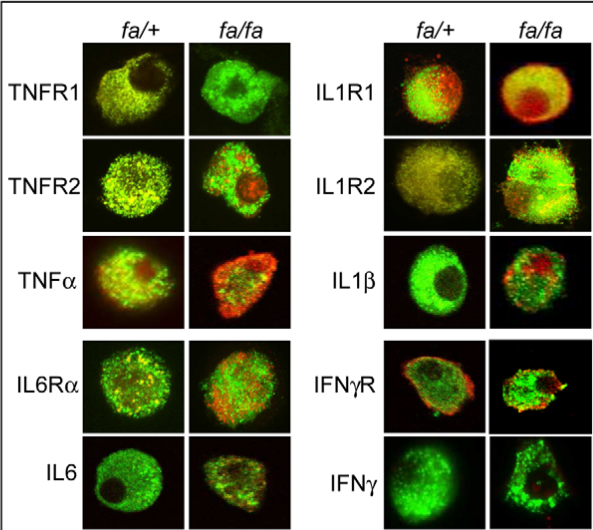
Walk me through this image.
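Each small frame shows a single isolated, rounded cell against a dark background. A darker, roughly round unstained area marks the nucleus, often set to one side. Around it the cytoplasm is filled with fine granular green staining, mixed in varying amounts with red dots. Where red and green coincide the granules appear yellow.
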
